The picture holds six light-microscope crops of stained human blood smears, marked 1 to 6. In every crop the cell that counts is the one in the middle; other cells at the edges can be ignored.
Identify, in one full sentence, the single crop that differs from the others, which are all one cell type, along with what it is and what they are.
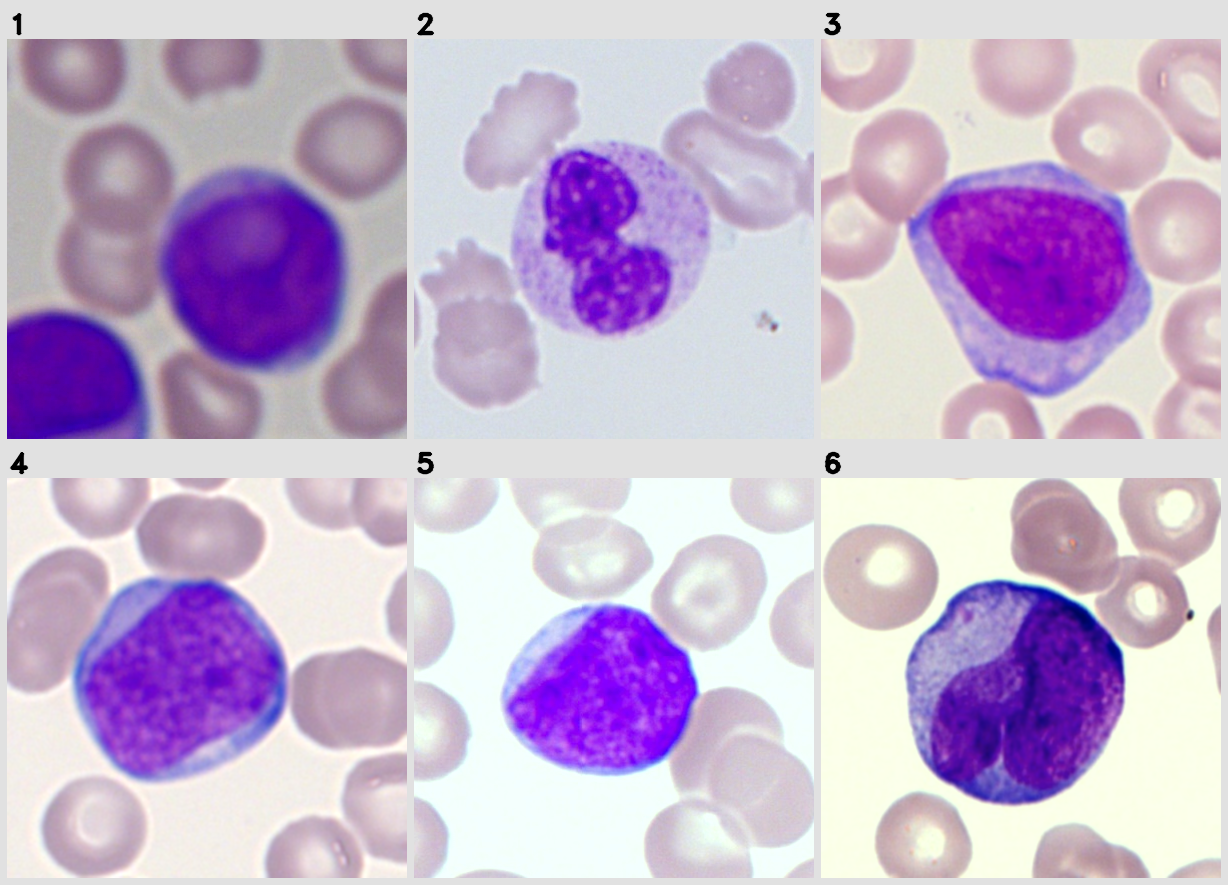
Crop 2 is the only crop with a monocyte, the others all showing myeloblasts.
